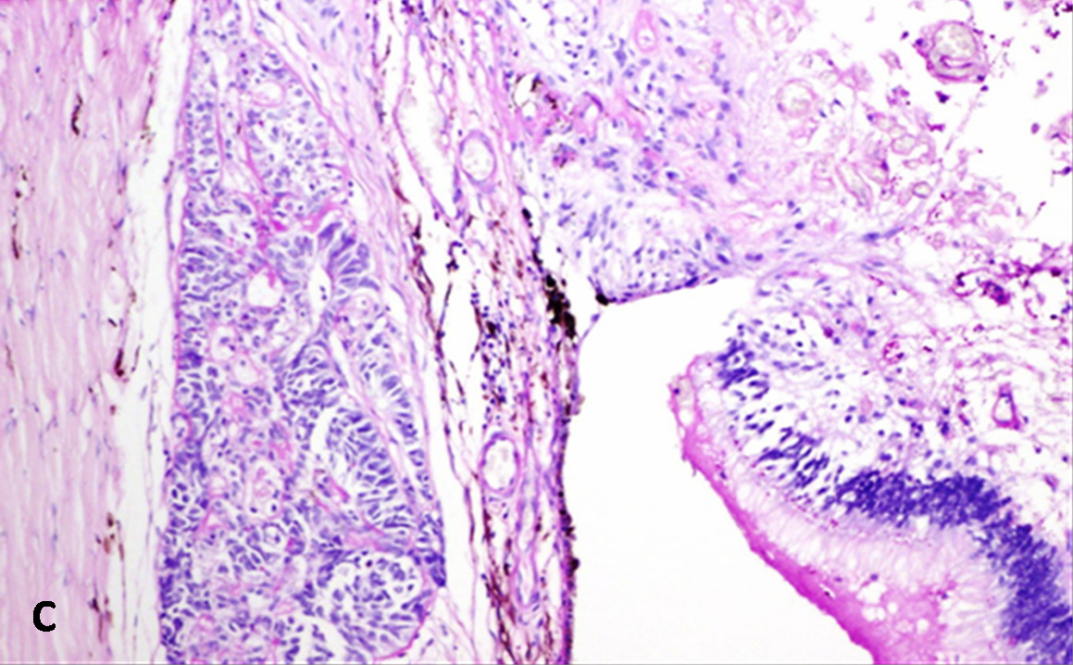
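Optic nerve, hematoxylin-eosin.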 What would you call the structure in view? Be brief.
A: Nests of tumoral cells.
